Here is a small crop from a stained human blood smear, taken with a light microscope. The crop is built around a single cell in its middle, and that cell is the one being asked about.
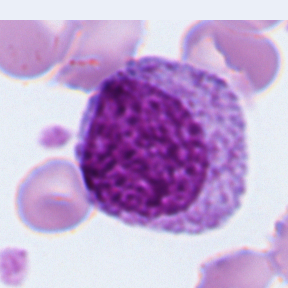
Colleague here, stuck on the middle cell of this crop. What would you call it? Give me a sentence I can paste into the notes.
For this crop, the cell in the middle is a myelocyte.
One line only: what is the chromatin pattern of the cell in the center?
Thanks for asking; the chromatin is coarsely clumped.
